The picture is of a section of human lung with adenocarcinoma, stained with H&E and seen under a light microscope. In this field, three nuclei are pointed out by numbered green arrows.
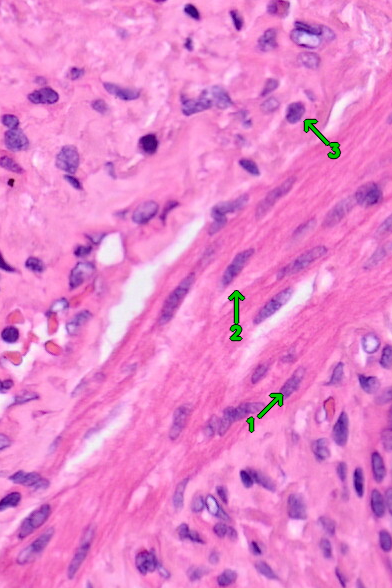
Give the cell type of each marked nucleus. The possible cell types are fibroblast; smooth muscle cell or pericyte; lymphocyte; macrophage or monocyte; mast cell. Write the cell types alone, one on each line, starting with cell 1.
smooth muscle cell or pericyte
smooth muscle cell or pericyte
lymphocyte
